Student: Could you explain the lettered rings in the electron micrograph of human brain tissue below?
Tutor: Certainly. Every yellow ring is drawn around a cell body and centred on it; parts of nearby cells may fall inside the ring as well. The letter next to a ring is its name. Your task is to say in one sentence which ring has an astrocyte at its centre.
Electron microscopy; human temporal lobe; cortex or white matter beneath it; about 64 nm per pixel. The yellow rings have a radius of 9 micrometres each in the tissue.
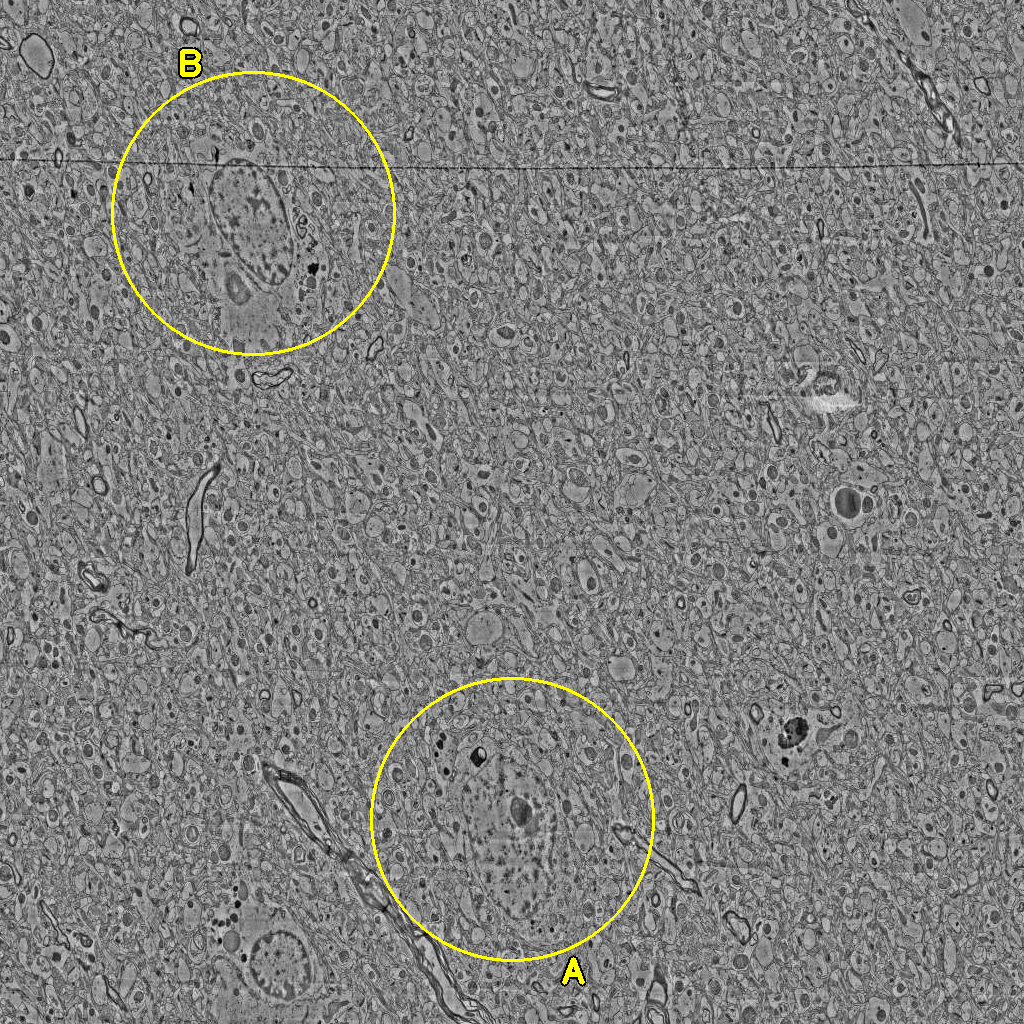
The cell at the centre of ring B is the one.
